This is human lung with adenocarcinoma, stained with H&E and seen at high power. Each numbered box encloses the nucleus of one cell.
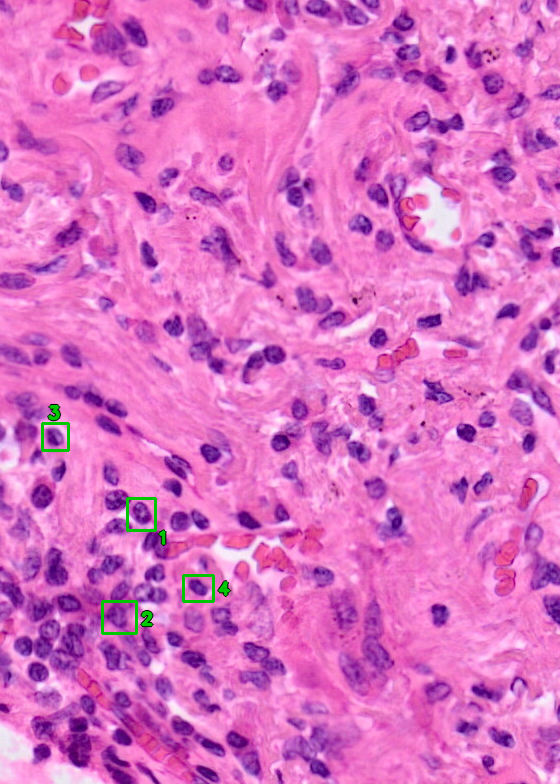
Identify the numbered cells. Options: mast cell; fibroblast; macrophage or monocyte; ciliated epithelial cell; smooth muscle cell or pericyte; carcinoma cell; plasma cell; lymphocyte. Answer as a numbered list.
1. lymphocyte
2. plasma cell
3. lymphocyte
4. lymphocyte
